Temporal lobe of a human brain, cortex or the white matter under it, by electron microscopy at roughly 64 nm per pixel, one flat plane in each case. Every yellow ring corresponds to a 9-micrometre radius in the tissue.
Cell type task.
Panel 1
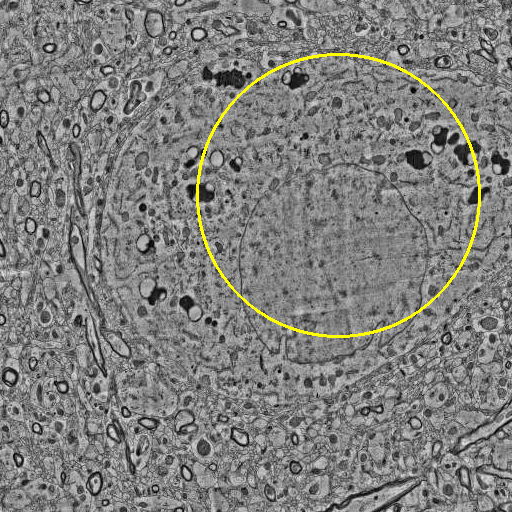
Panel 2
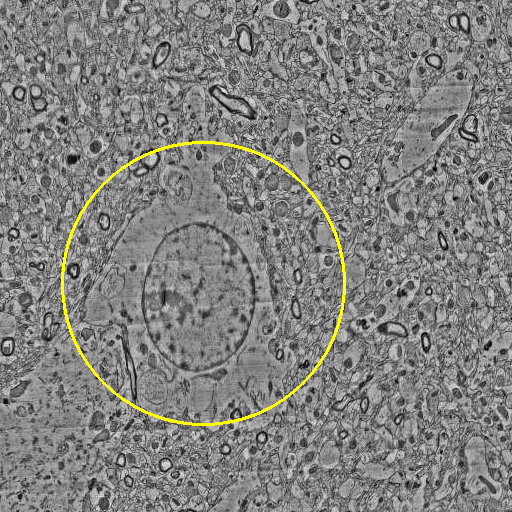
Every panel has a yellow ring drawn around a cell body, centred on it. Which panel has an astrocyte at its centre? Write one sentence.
It sits at the centre of the ring in Panel 2.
